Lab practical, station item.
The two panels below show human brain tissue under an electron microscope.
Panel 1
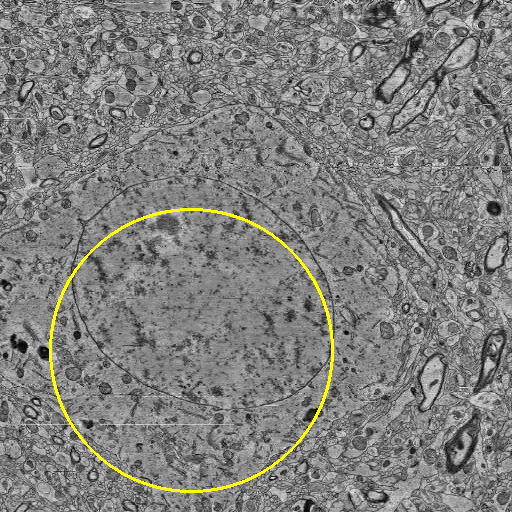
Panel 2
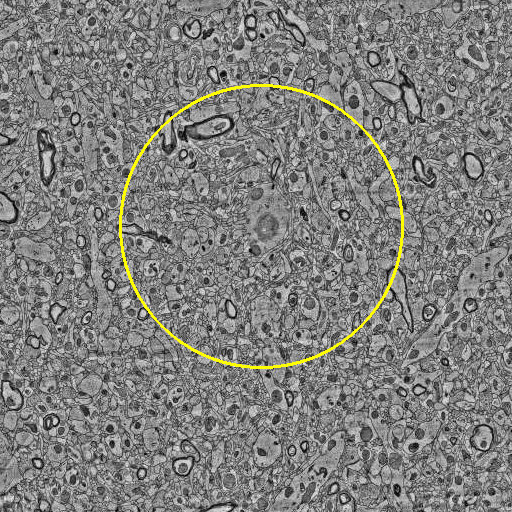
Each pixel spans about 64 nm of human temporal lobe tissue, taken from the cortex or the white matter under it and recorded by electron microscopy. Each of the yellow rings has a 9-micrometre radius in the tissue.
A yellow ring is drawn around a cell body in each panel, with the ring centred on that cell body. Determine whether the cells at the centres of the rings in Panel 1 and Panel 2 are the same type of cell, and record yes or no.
no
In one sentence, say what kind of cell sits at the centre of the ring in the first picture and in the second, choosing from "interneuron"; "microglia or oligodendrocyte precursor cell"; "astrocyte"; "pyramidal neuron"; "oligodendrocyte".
The first picture's ringed cell is a pyramidal neuron, while the second picture's is an oligodendrocyte.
